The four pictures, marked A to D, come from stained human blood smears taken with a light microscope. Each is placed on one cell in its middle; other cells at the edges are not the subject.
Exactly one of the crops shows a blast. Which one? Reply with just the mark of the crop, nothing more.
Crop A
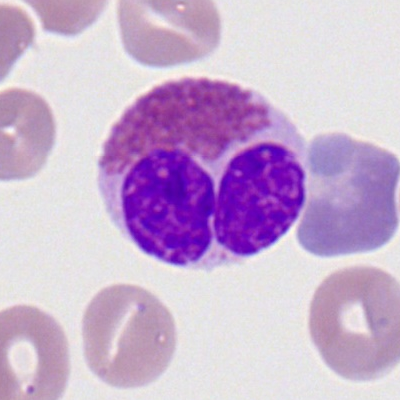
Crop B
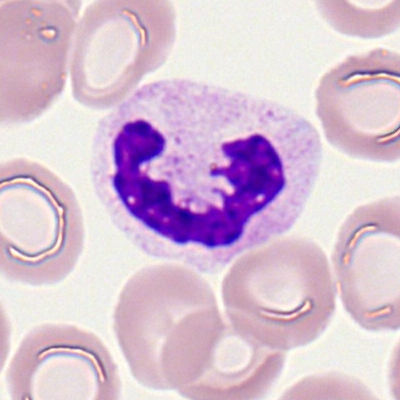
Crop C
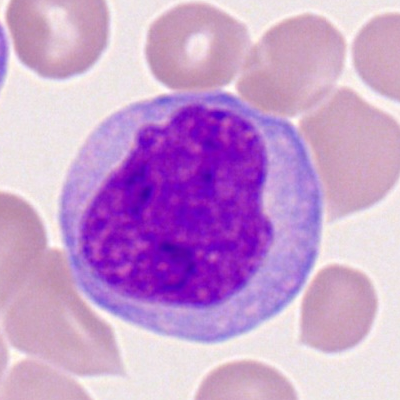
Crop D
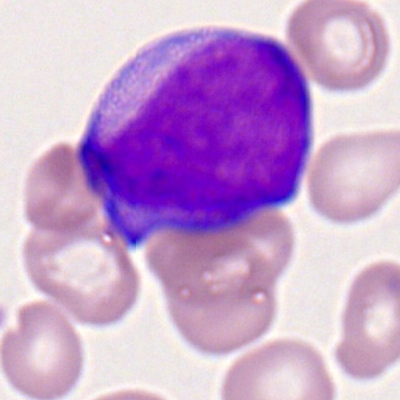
D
